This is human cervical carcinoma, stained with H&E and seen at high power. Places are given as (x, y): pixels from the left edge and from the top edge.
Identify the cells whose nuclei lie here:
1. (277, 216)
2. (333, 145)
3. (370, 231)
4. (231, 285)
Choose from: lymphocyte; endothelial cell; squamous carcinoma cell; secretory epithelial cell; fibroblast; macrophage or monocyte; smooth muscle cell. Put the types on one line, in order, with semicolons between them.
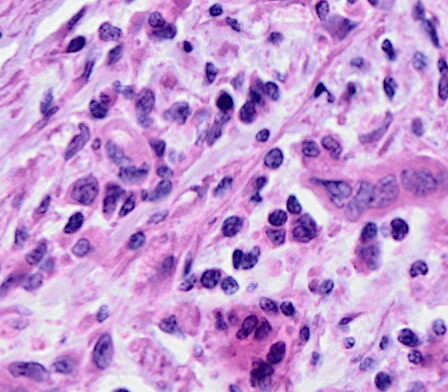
lymphocyte; macrophage or monocyte; lymphocyte; lymphocyte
